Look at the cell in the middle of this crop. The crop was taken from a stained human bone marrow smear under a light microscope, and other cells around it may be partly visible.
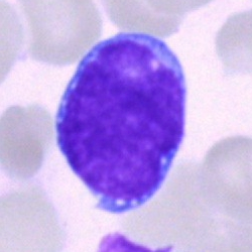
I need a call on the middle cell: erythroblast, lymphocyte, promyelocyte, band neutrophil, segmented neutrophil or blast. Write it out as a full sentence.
This crop has a blast at its centre.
